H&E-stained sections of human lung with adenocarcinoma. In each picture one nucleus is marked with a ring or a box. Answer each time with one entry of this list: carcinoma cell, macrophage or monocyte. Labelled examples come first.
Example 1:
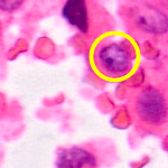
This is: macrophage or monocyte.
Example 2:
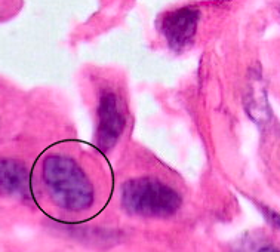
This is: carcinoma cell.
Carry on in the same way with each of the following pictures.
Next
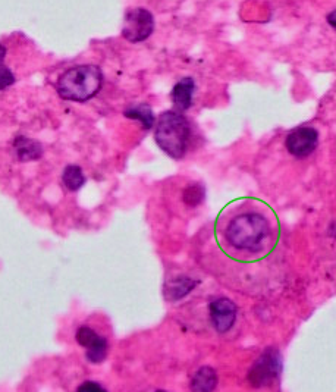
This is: macrophage or monocyte.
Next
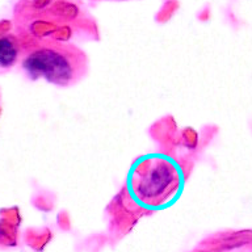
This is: macrophage or monocyte.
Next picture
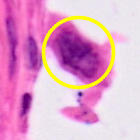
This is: carcinoma cell.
